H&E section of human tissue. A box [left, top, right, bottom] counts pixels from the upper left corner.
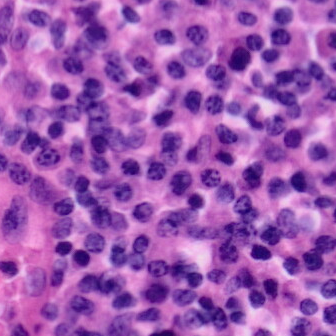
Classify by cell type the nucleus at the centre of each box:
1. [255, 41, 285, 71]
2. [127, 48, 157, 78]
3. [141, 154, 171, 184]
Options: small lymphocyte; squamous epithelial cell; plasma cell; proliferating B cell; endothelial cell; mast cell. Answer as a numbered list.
1. small lymphocyte
2. plasma cell
3. plasma cell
